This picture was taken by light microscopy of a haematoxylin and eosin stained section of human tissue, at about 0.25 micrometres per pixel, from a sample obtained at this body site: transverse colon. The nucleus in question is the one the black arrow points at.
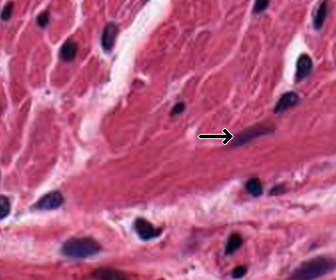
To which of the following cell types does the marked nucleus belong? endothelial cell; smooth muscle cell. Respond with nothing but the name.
smooth muscle cell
